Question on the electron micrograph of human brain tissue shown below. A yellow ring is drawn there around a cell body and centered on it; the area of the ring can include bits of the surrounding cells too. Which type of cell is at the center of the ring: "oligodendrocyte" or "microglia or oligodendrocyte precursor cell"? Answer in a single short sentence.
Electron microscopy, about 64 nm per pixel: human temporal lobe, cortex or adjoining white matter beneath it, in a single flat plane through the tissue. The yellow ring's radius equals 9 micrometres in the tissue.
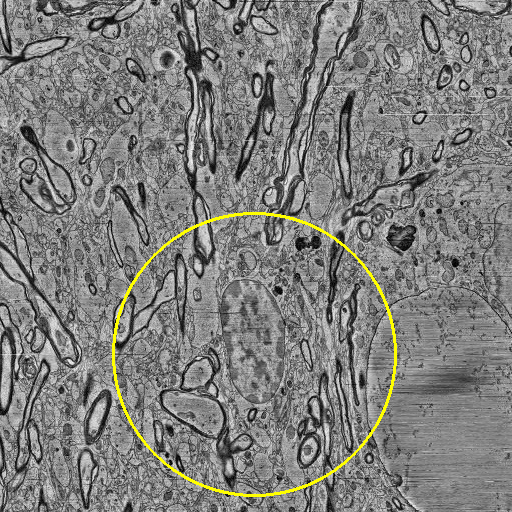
The ring is centered on a microglial cell or oligodendrocyte precursor cell.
